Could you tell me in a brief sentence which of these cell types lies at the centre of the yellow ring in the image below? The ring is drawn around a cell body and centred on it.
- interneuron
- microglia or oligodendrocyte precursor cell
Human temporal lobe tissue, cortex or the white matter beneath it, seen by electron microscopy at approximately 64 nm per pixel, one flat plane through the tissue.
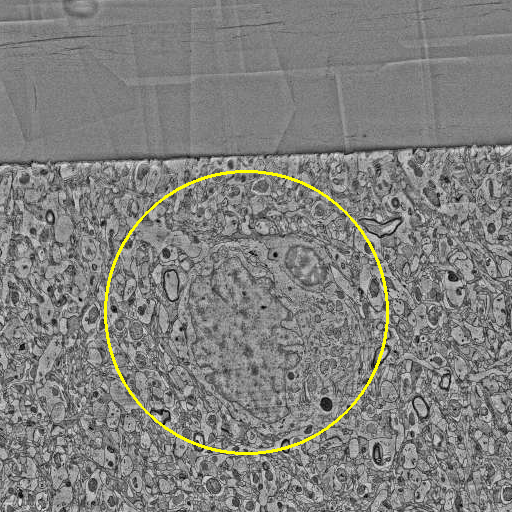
The cell centred in the ring is an interneuron.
